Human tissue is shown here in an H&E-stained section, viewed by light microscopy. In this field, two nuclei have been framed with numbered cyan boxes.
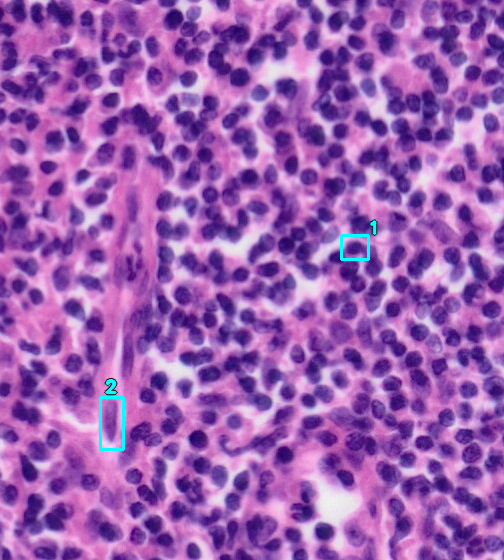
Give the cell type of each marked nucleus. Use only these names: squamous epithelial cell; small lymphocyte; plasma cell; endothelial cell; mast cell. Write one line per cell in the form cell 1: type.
cell 1: small lymphocyte
cell 2: endothelial cell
